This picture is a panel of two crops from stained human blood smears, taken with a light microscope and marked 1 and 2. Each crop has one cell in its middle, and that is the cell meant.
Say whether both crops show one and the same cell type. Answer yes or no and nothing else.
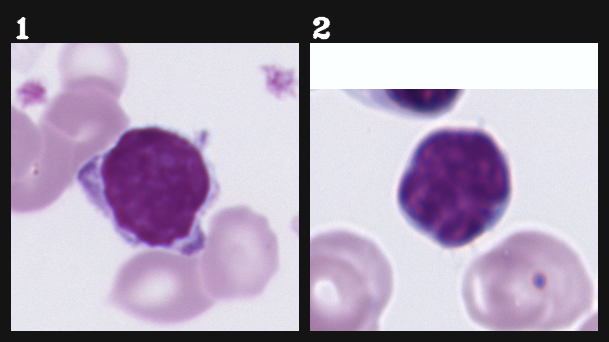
yes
